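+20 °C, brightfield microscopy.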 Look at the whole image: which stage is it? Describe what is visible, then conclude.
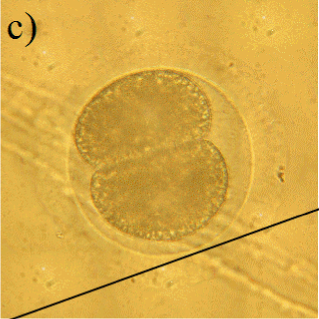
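Two rounded cells lie pressed together. Both lie inside one clear, thin round envelope. The cytoplasm of both cells is granular. That points to this answer: embryo.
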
